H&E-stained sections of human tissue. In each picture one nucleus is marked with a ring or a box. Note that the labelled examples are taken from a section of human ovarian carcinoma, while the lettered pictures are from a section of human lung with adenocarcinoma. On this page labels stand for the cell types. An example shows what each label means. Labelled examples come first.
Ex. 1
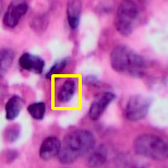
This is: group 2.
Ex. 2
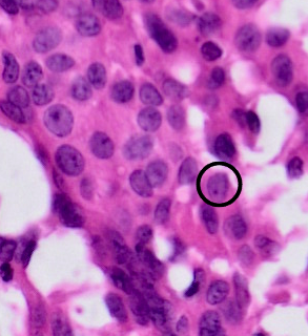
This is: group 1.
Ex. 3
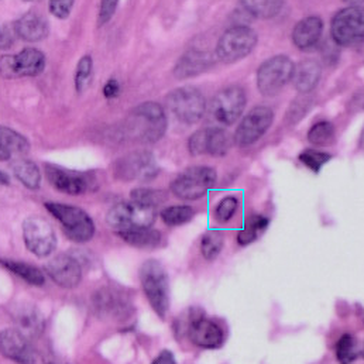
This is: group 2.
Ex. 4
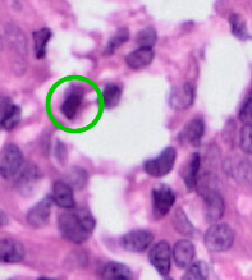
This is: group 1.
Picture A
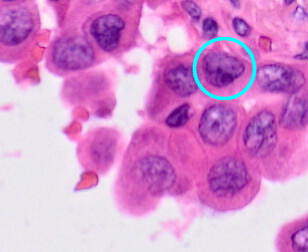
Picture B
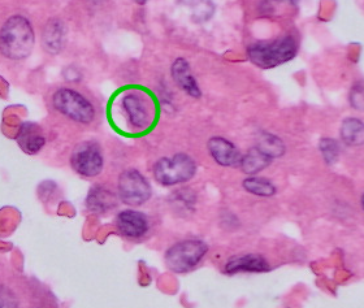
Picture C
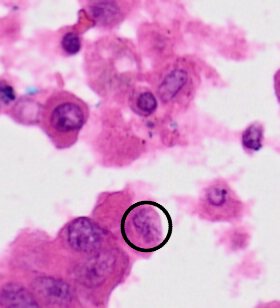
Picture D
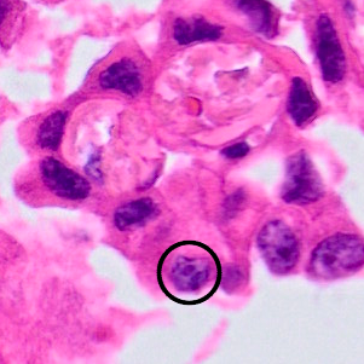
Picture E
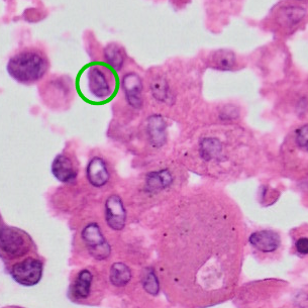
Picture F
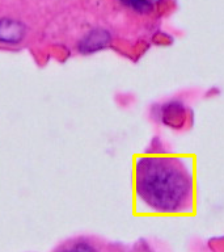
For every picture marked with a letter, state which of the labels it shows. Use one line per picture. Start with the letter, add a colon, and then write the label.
A: group 1.
B: group 2.
C: group 1.
D: group 1.
E: group 2.
F: group 1.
